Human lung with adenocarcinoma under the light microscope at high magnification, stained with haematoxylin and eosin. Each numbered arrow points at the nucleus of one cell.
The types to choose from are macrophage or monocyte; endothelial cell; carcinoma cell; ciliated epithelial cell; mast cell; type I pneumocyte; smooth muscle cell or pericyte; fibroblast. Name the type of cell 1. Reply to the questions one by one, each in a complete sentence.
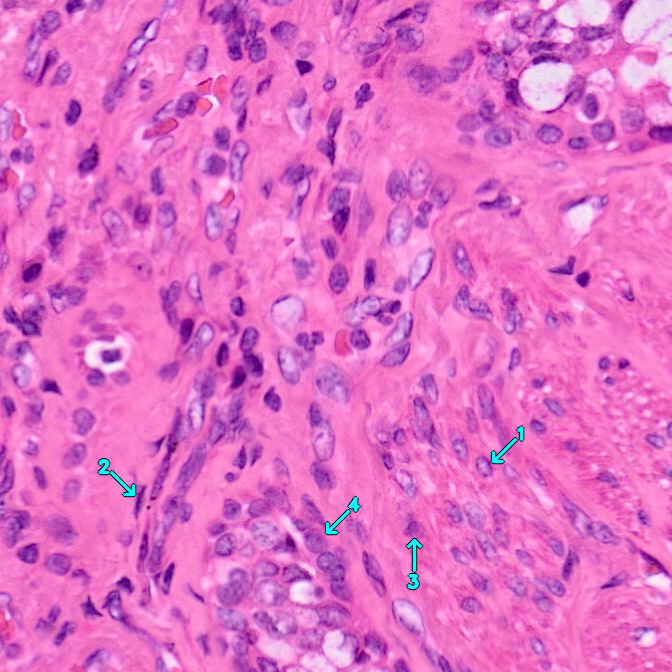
Heads up, the cell numbered 1 is a smooth muscle cell or pericyte.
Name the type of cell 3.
The cell with the number 3 is a smooth muscle cell or pericyte.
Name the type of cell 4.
The cell indicated by marker 4 is a ciliated epithelial cell in this section.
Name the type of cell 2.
The cell numbered 2 represents a fibroblast.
